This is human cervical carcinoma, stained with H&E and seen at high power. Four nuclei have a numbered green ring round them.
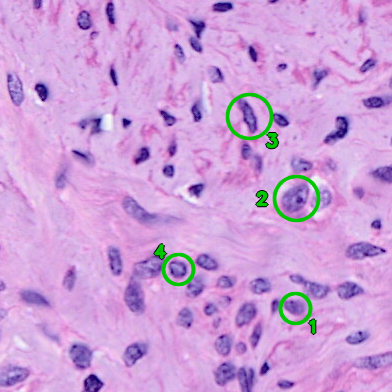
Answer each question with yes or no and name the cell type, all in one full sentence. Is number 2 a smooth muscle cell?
No, the cell indicated by 2 is an endothelial cell instead of a smooth muscle cell.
